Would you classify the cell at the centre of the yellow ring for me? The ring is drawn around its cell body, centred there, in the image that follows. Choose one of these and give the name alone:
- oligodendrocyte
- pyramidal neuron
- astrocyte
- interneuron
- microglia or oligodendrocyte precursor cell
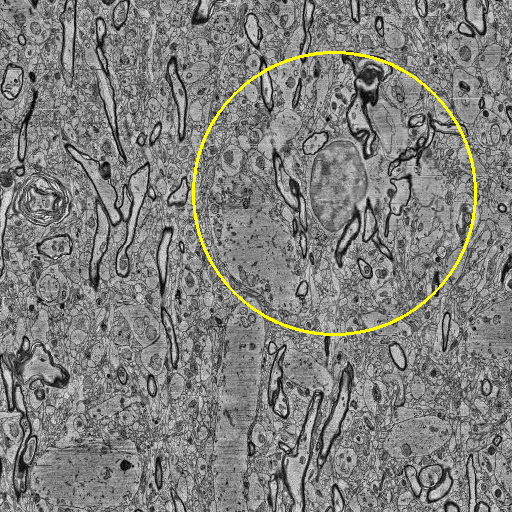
oligodendrocyte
